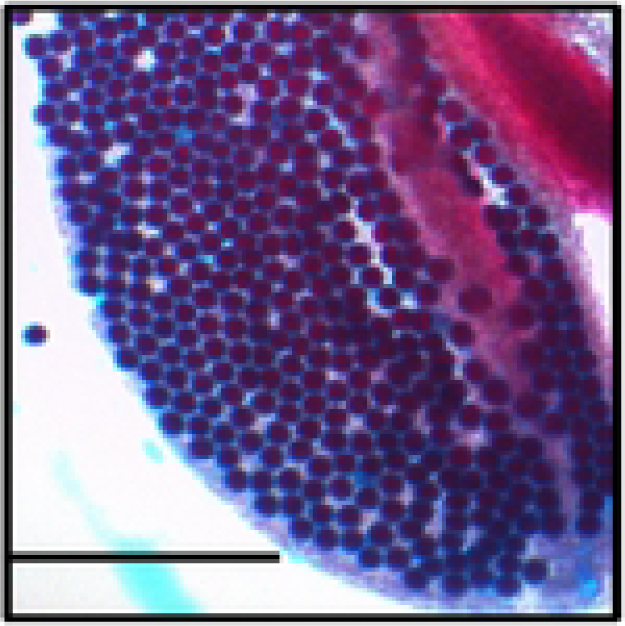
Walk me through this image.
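An anther seen with its locule filled by tightly packed, round pollen grains of even size. Almost all grains are stained dark purple-red, with hardly any pale blue ones among them. The pink-magenta anther wall lies at the upper right.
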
